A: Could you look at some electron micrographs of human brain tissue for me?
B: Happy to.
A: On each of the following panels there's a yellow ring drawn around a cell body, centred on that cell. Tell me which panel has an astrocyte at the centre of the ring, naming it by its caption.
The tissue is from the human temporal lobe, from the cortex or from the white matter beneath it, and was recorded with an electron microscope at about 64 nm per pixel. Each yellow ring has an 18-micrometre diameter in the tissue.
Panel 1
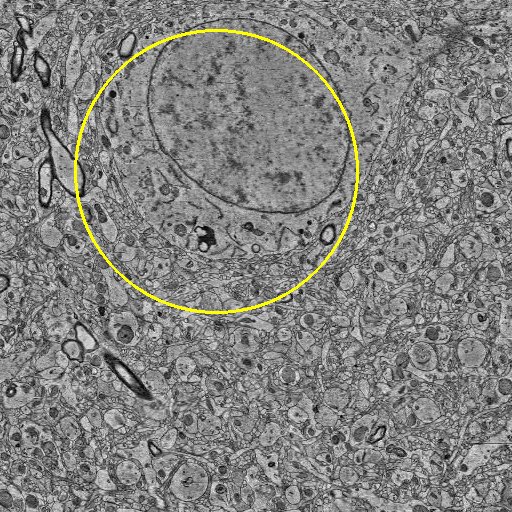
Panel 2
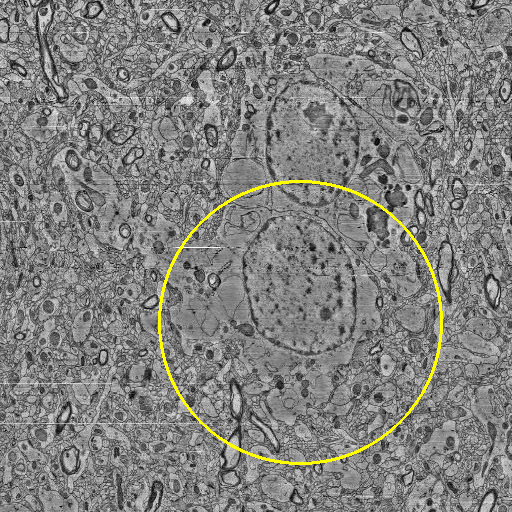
Panel 2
